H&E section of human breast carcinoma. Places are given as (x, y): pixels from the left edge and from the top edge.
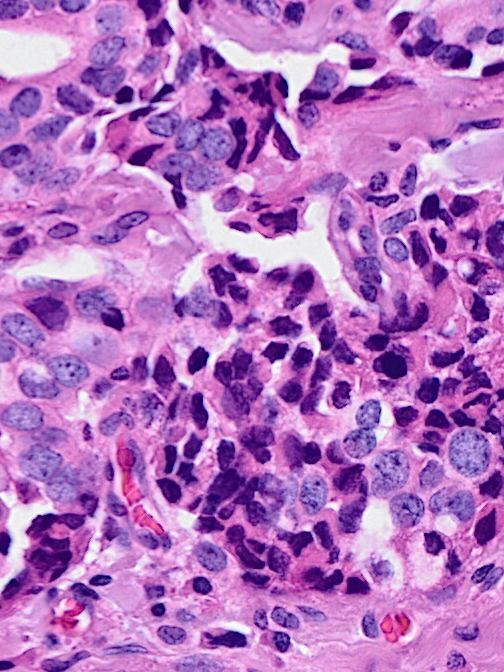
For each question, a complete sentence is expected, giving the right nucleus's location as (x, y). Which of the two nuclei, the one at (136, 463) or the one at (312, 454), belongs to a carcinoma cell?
Of the two nuclei, the one at (312, 454) belongs to a carcinoma cell.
